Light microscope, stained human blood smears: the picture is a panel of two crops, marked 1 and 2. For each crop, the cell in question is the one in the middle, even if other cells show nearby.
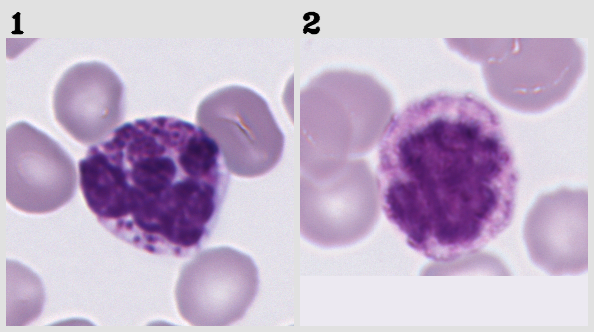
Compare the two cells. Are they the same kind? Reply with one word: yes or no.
yes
